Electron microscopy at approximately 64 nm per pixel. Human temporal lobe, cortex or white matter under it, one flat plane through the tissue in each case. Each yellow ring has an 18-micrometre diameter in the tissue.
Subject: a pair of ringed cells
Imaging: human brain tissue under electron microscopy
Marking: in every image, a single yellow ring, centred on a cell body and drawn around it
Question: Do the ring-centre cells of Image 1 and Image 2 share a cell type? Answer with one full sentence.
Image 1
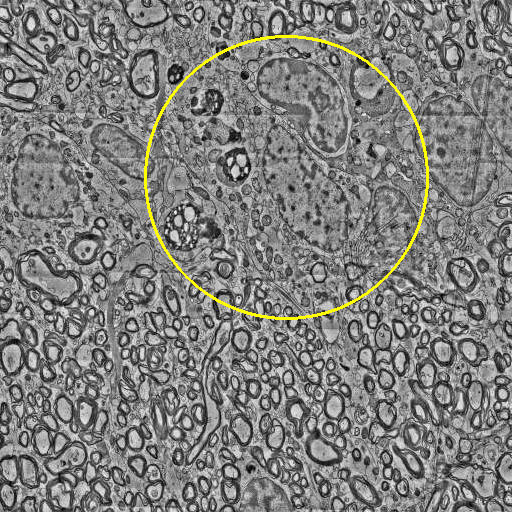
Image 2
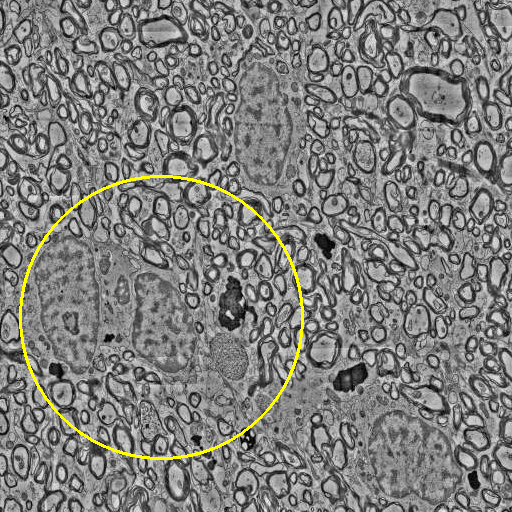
No, at the ring centres in the images sit cells of two separate types.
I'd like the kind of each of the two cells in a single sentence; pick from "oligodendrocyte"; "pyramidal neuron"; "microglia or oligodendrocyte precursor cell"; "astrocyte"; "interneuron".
The first ring marks an astrocyte, and the second ring marks an oligodendrocyte.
